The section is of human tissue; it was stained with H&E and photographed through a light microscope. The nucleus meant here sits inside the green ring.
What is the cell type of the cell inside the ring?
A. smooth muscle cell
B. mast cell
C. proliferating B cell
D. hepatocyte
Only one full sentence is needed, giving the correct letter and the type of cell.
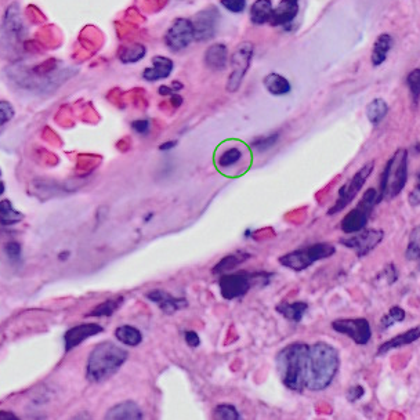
The right pick is option B; the cell inside the ring is a mast cell.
